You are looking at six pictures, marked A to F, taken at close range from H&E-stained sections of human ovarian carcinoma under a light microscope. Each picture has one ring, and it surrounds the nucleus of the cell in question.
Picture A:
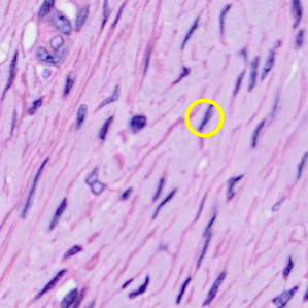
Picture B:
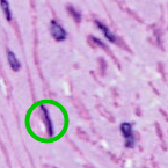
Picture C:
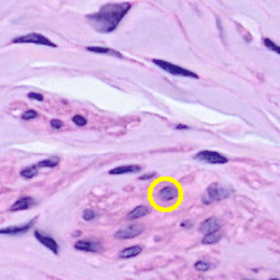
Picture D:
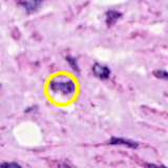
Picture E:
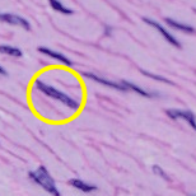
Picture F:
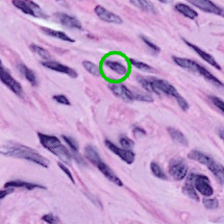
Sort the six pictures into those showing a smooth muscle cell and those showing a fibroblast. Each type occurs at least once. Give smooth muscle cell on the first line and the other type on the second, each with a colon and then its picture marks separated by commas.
smooth muscle cell: C, F
fibroblast: A, B, D, E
